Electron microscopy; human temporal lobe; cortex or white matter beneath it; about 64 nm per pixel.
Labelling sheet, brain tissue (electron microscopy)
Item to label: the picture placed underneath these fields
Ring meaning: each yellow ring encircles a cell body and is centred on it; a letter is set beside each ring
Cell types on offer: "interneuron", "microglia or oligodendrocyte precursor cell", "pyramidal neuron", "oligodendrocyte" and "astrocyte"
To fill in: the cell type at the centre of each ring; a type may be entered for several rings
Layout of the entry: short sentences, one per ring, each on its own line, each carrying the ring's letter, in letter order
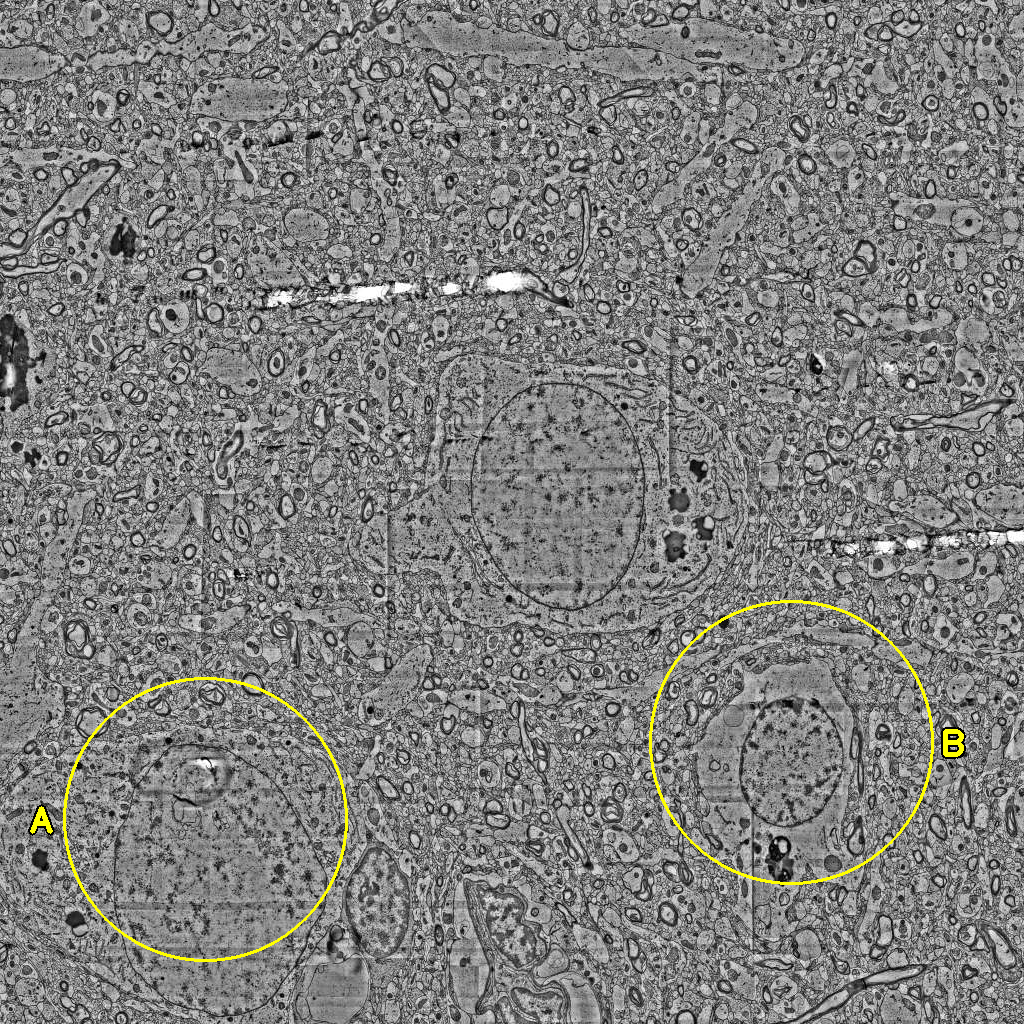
Ring A encircles the body of a pyramidal neuron.
Ring B encircles the body of an astrocyte.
